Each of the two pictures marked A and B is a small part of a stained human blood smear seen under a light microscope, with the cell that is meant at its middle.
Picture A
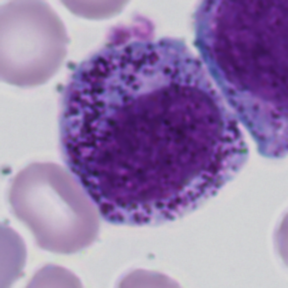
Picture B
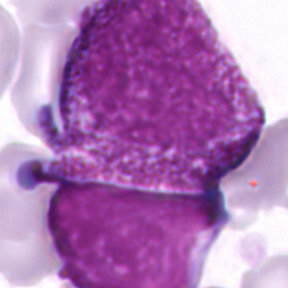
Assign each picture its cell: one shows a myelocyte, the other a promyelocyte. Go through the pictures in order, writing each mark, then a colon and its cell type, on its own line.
A: myelocyte
B: promyelocyte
